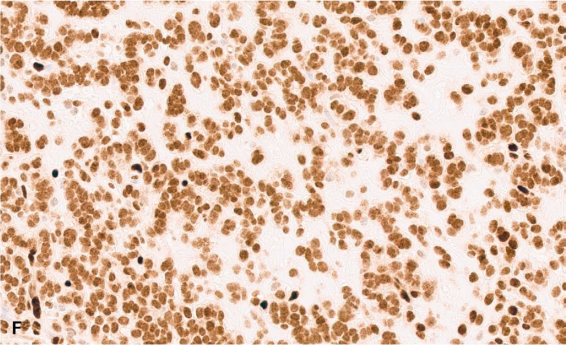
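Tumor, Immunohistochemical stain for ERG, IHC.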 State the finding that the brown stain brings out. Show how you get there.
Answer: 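Brown staining fills round nuclei. Almost all cells in the field are stained. Cytoplasm around the nuclei is pale.
Hence: diffuse nuclear positivity.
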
